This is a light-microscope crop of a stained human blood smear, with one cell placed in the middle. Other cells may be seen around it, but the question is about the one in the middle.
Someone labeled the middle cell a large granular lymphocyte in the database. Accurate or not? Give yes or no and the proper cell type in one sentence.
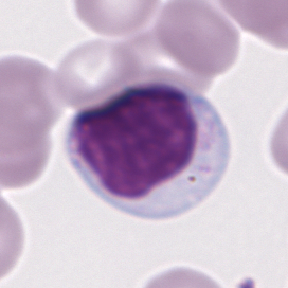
Yes, in the centre of this field sits a large granular lymphocyte.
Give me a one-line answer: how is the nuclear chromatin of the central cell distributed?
If you check the nucleus, you will find the chromatin coarsely clumped.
